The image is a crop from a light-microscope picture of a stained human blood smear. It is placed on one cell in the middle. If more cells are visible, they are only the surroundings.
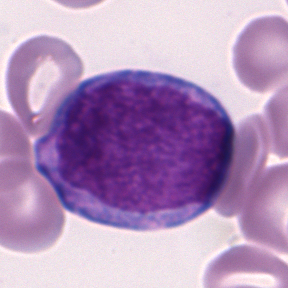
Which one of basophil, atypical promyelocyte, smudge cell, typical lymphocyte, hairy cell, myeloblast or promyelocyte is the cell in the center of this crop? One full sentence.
As for the central cell, it is a promyelocyte.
